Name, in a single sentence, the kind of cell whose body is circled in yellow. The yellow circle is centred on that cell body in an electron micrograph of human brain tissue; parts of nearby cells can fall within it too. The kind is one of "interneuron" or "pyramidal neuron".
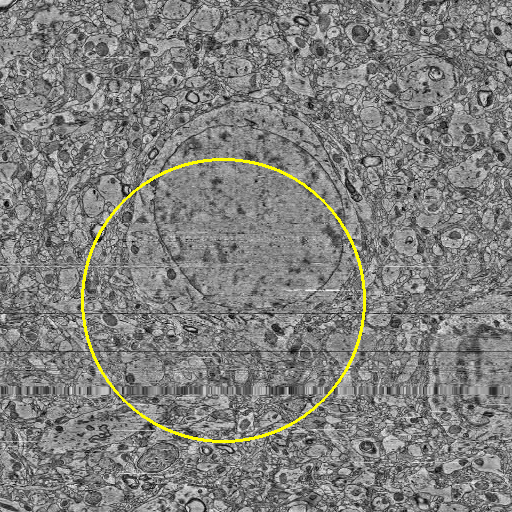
The circled cell body belongs to a pyramidal neuron.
